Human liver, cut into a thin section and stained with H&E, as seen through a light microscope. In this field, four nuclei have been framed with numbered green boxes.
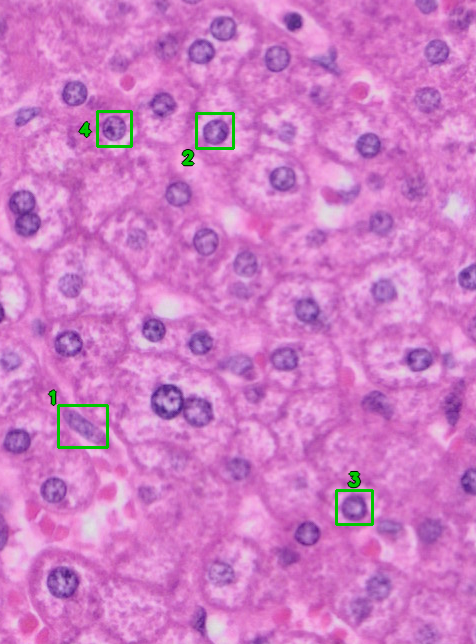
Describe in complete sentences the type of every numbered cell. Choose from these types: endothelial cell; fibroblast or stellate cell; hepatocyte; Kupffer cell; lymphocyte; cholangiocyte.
Cell 1 is a Kupffer cell. Cells 2, 3 and 4 are hepatocytes.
